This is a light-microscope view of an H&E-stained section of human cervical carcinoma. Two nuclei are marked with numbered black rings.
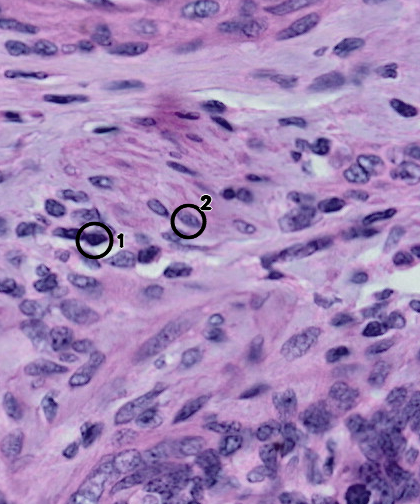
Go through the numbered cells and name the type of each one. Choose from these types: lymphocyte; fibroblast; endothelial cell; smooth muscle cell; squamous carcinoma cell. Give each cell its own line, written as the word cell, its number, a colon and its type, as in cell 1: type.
cell 1: lymphocyte
cell 2: smooth muscle cell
